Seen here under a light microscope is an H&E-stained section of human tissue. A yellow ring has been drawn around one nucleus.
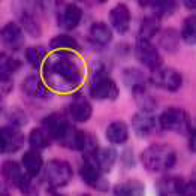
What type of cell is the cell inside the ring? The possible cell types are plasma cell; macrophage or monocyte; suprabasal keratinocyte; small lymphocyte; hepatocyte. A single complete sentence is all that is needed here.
The identity of the cell inside the ring: it is a small lymphocyte.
